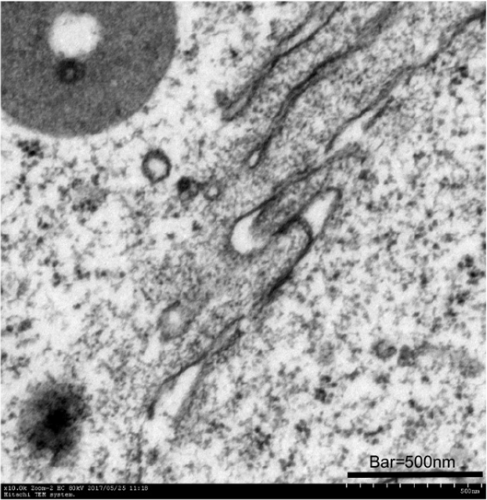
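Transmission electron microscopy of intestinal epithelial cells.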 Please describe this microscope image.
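The plasma membranes of the neighbouring cells run as dark, closely apposed, wavy lines diagonally across the field, with local dense thickenings where they meet. Small membrane-bound vesicles and folds lie along the contact region. The surrounding cytoplasm is finely granular, with scattered dense particles. A large, rounded, dark, membrane-bound body with a pale centre lies in the upper left corner.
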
